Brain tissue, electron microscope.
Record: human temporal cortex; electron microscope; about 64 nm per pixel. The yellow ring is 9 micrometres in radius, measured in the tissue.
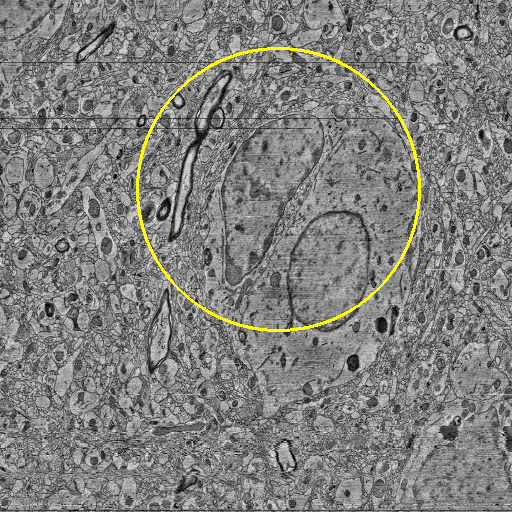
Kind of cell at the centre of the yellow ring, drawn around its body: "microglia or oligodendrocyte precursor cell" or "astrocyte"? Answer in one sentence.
The ring's centre falls on a microglial cell or oligodendrocyte precursor cell.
